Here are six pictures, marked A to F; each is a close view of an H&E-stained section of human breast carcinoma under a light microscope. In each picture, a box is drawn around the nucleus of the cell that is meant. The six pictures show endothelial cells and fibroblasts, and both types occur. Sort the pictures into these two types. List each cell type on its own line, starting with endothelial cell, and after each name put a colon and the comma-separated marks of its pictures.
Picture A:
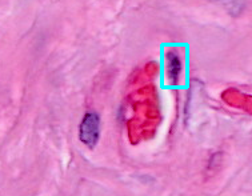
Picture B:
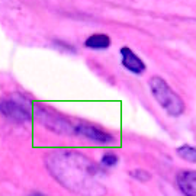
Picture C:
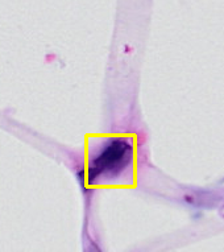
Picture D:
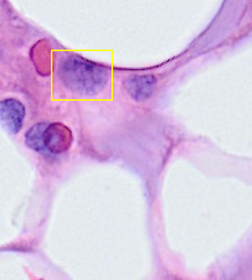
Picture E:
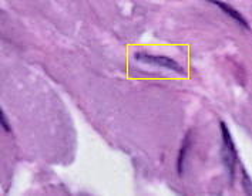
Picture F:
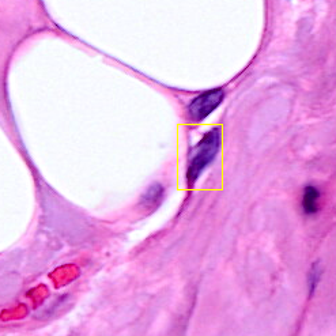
endothelial cell: A, B, C, D
fibroblast: E, F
